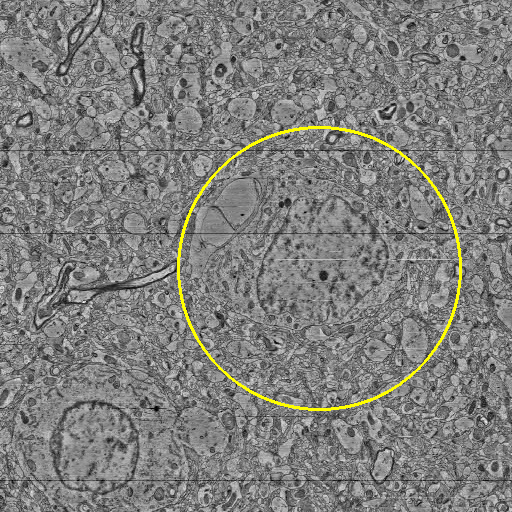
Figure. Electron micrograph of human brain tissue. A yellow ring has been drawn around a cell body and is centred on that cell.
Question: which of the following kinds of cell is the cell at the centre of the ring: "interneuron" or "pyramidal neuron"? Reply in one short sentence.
The cell at the centre of the ring is an interneuron.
